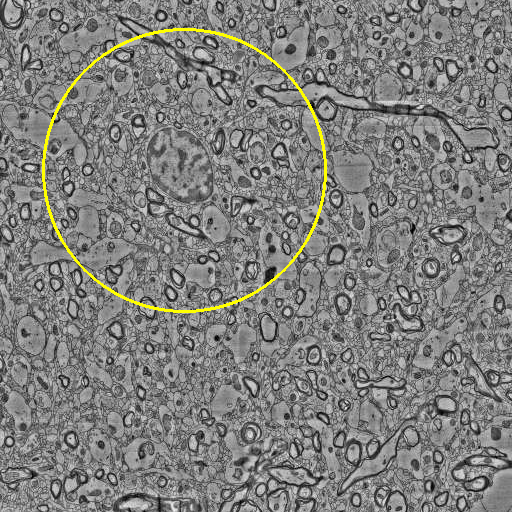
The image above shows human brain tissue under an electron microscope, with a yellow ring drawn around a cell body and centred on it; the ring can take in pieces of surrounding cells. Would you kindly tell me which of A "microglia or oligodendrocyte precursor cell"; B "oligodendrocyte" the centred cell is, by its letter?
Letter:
A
